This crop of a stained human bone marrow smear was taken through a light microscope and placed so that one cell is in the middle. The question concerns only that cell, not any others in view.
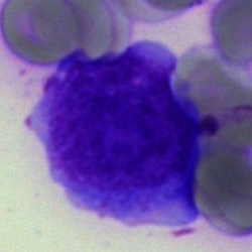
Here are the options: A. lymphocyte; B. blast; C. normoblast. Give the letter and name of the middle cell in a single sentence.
With the cell in the middle being a blast, option B is the correct choice.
